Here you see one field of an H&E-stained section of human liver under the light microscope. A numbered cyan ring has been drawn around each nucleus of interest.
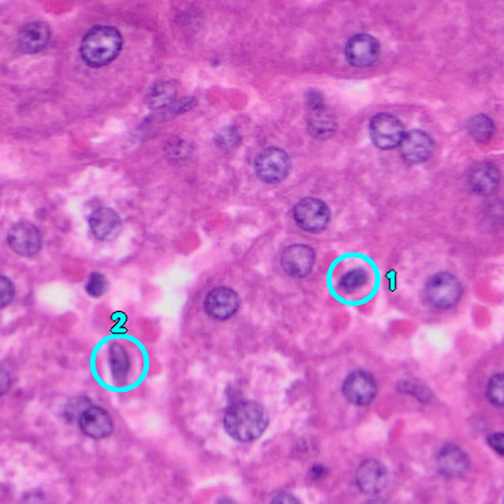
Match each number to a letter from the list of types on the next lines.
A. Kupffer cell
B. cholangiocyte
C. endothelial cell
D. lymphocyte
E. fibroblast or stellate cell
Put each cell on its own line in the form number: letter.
1: D
2: A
